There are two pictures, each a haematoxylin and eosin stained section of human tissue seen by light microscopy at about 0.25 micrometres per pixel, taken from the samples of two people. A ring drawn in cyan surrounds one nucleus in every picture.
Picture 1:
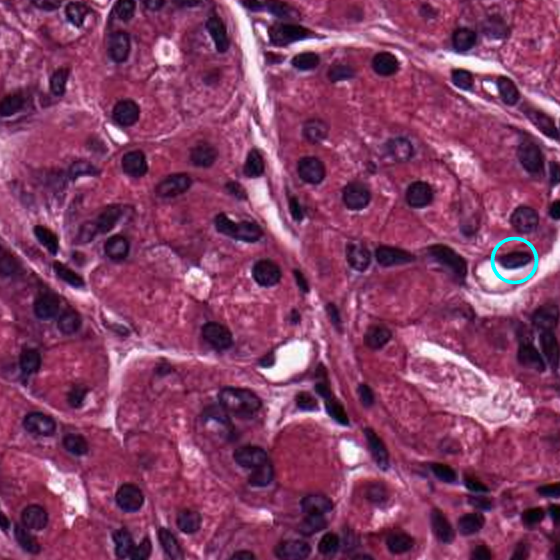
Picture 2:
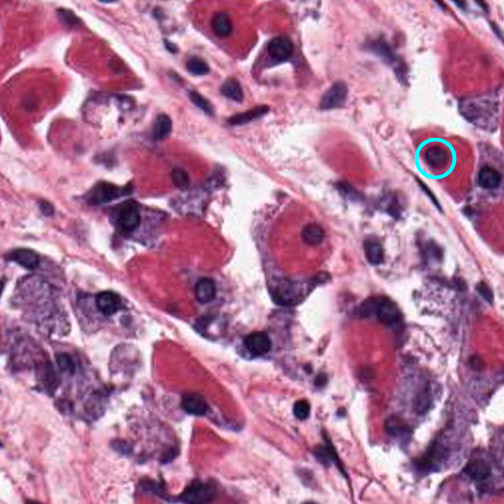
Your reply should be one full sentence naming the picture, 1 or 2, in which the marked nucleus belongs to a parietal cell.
In picture 2, the marked nucleus is one belonging to a parietal cell.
